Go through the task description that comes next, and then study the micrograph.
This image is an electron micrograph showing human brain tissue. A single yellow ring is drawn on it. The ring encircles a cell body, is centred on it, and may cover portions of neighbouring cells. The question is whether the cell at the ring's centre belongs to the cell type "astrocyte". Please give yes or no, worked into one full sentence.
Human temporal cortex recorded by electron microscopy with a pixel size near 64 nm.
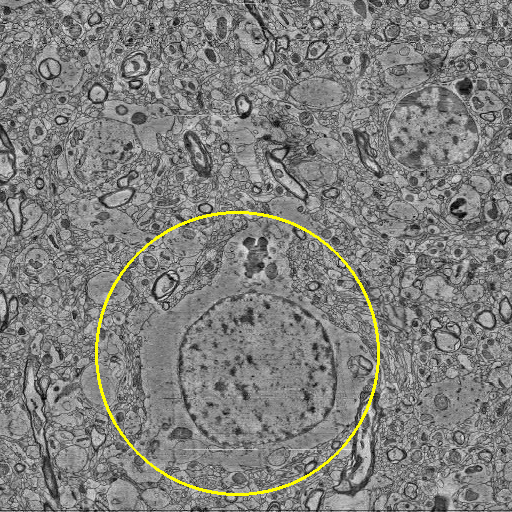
Yes, the cell that the ring is centred on in the micrograph is of this kind.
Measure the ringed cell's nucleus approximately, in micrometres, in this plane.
The nucleus comes to roughly 10 micrometres across in this plane.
